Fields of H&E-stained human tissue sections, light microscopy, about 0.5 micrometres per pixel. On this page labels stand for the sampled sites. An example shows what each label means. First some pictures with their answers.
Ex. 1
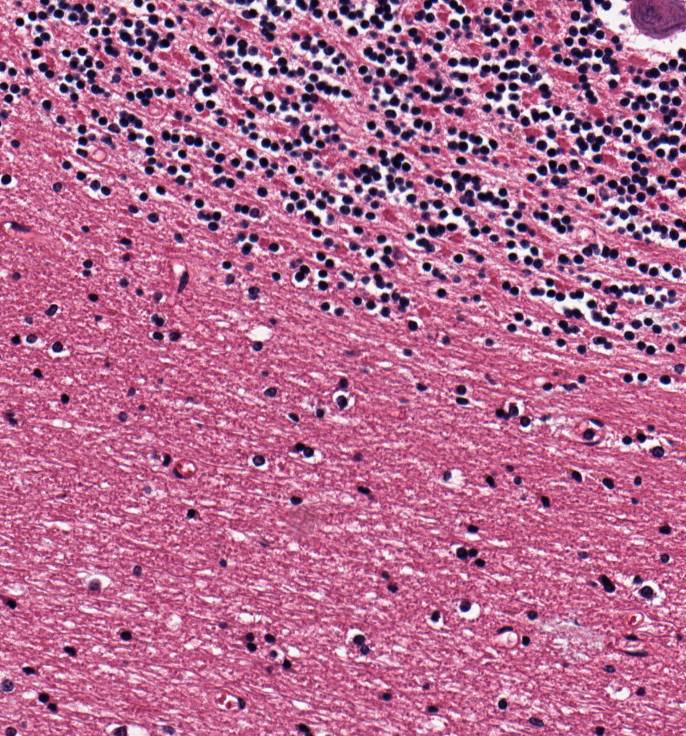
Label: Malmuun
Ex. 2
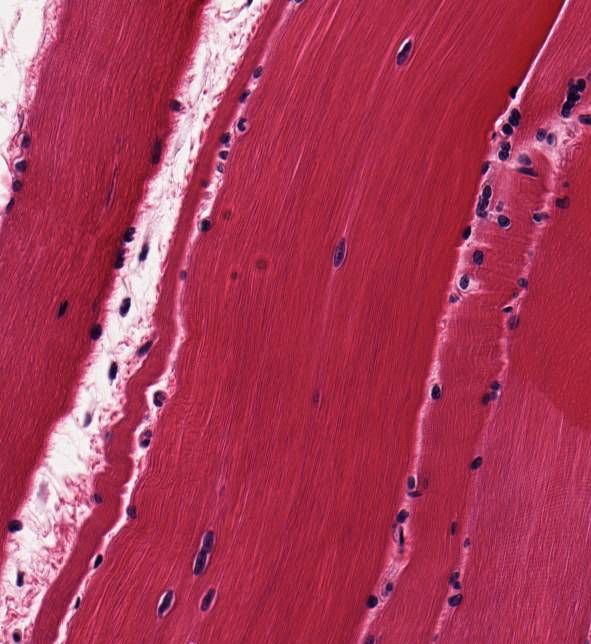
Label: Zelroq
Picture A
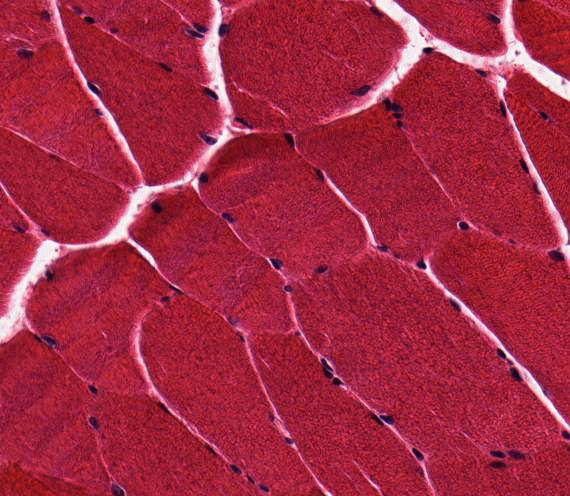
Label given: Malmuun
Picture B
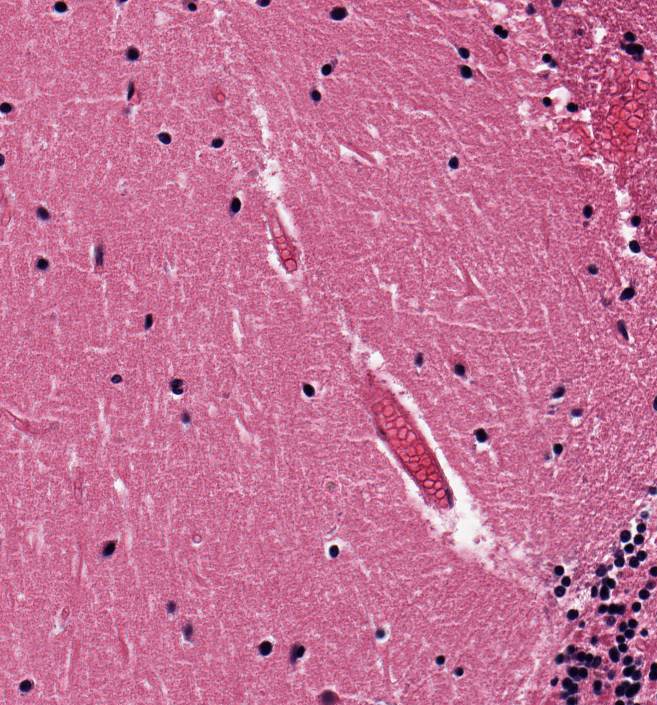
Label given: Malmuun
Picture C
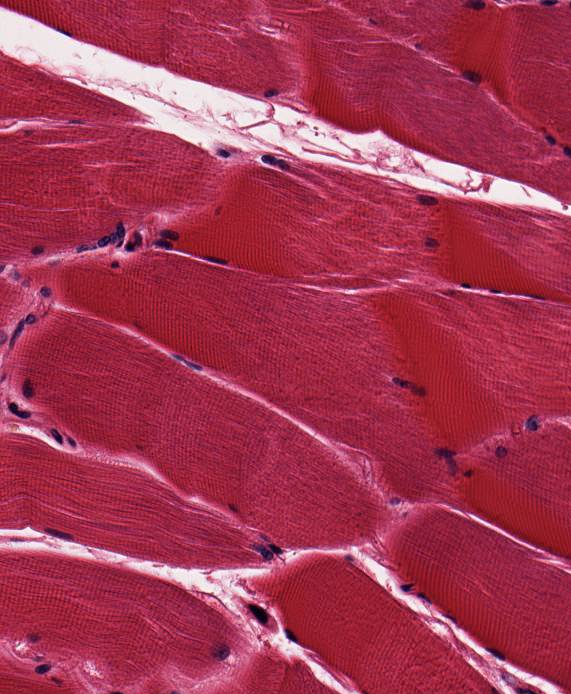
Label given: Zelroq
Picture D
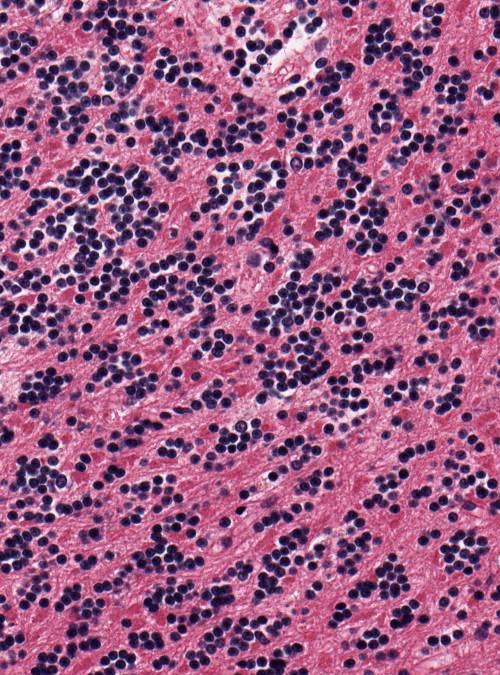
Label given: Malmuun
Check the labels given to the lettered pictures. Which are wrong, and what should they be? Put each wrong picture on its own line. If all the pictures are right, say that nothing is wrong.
A: Zelroq, not Malmuun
